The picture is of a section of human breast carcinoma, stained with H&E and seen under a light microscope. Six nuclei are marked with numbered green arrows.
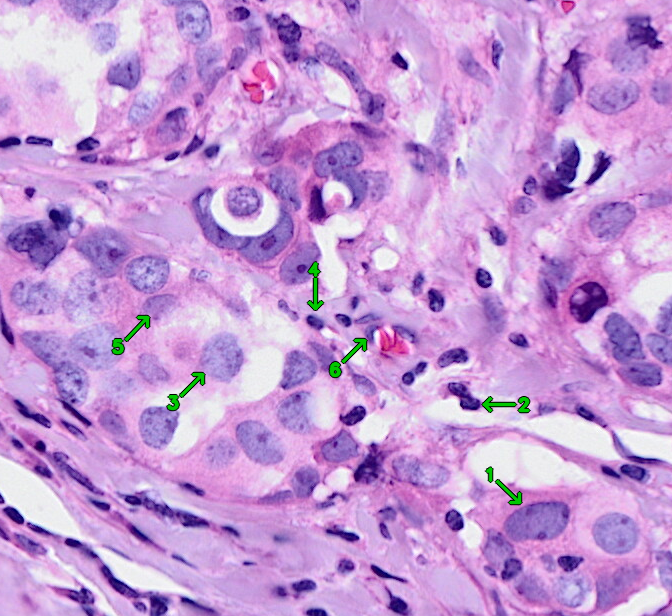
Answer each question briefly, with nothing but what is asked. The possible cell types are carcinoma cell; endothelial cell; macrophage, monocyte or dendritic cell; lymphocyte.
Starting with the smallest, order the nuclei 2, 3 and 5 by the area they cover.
2, 5, 3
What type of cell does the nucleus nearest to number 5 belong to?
carcinoma cell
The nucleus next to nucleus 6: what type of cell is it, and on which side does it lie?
an endothelial cell; above nucleus 6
